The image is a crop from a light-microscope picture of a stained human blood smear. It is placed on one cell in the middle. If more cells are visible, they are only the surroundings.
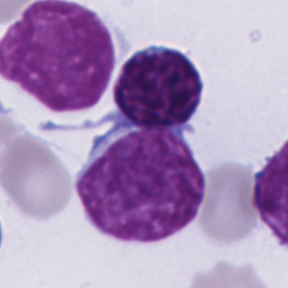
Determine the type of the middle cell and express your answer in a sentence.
The central cell in this smear crop is a myeloblast.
